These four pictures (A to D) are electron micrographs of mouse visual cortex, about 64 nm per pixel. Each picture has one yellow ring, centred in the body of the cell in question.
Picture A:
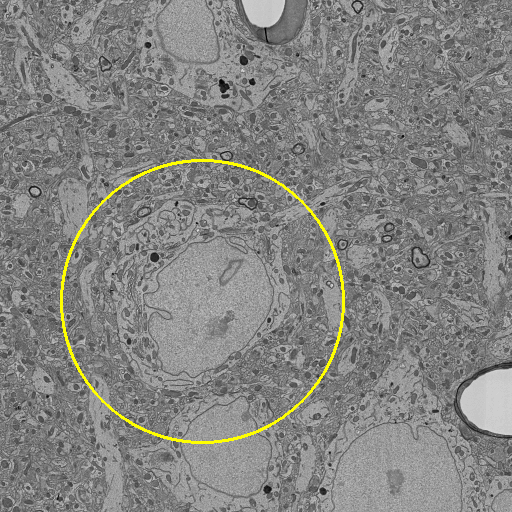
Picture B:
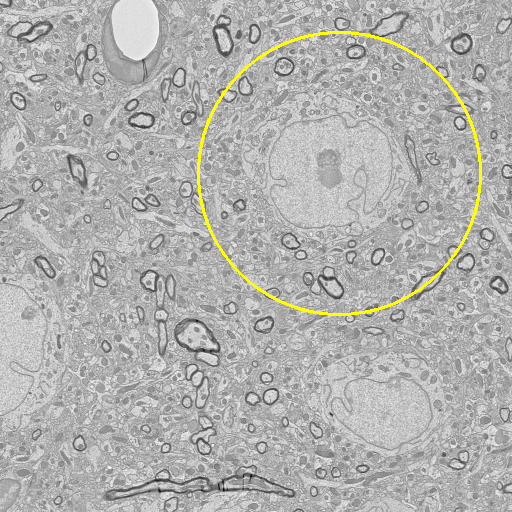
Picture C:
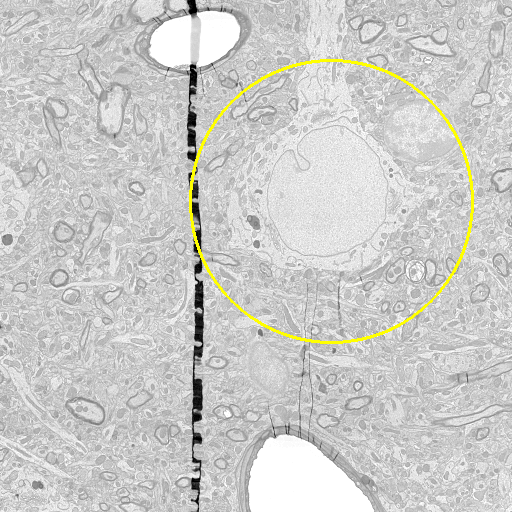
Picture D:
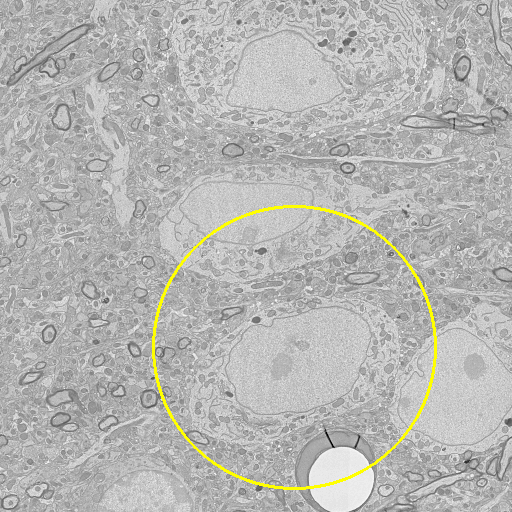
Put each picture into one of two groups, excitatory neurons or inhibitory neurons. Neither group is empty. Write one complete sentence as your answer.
Picture C shows an excitatory neuron; pictures A, B and D show inhibitory neurons.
